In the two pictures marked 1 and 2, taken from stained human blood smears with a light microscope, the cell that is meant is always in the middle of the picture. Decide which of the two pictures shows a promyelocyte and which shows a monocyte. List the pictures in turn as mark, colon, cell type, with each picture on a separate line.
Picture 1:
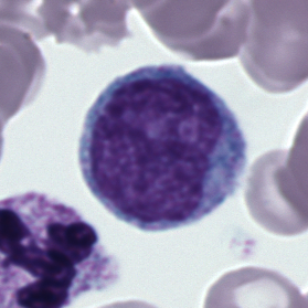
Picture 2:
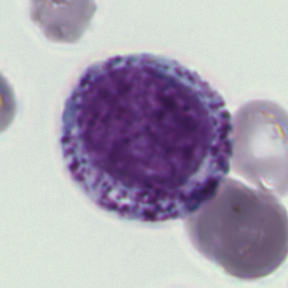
1: monocyte
2: promyelocyte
